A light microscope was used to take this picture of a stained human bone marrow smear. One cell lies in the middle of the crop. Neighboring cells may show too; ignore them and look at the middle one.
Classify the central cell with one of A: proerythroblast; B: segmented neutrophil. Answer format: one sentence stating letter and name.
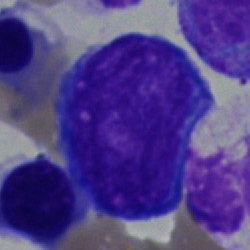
Of the options given, A is correct, the central cell being a proerythroblast.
